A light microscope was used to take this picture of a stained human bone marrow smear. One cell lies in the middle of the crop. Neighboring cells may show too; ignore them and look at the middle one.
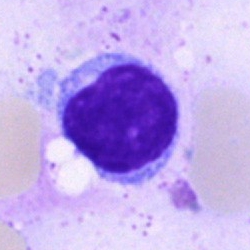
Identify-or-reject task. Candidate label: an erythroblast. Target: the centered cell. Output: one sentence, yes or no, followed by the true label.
No, the cell in the middle is recognised as a lymphocyte rather than an erythroblast.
